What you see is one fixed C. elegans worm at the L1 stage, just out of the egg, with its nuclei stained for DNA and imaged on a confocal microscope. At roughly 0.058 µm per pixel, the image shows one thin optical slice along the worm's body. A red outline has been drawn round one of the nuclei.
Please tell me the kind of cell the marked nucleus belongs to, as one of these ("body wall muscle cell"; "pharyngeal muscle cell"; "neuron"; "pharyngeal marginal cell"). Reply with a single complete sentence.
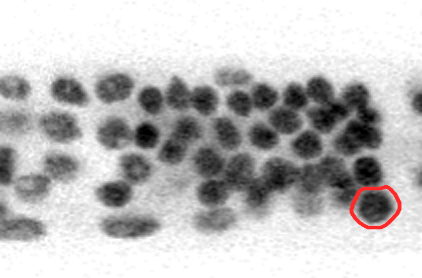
It belongs to a neuron.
